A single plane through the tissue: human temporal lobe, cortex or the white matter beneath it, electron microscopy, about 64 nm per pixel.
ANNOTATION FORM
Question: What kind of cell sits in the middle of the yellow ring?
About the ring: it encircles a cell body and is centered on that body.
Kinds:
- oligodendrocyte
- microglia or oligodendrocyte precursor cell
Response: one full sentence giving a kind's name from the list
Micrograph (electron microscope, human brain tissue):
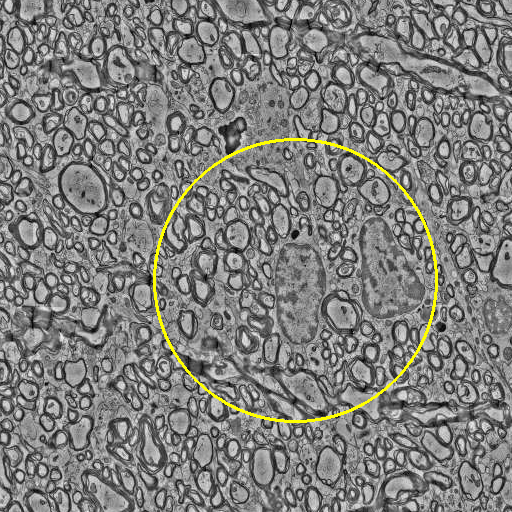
The kind of cell found at the center of the yellow ring in the micrograph is an oligodendrocyte.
